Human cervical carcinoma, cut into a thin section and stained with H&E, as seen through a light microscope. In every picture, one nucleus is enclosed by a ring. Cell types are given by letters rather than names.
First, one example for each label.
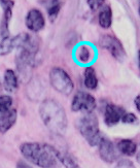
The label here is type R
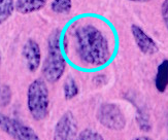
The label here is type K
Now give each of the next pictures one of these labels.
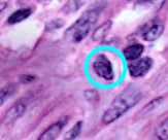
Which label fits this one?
type R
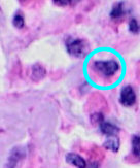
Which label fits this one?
type R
